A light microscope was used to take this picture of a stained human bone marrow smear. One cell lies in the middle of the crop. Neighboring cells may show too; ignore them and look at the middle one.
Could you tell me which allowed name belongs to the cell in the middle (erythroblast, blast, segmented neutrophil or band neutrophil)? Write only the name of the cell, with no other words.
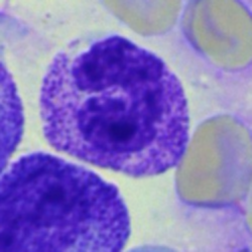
band neutrophil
